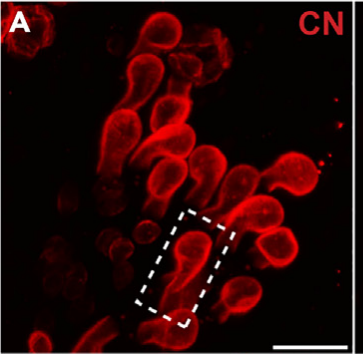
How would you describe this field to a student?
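This is a nest of developing stenotele capsules, their walls outlined in red. Each capsule has a rounded, bulbous body that narrows into a slender tube, so the whole looks like a drop. The capsules lie closely packed side by side, all at a similar stage and pointing in roughly the same direction.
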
